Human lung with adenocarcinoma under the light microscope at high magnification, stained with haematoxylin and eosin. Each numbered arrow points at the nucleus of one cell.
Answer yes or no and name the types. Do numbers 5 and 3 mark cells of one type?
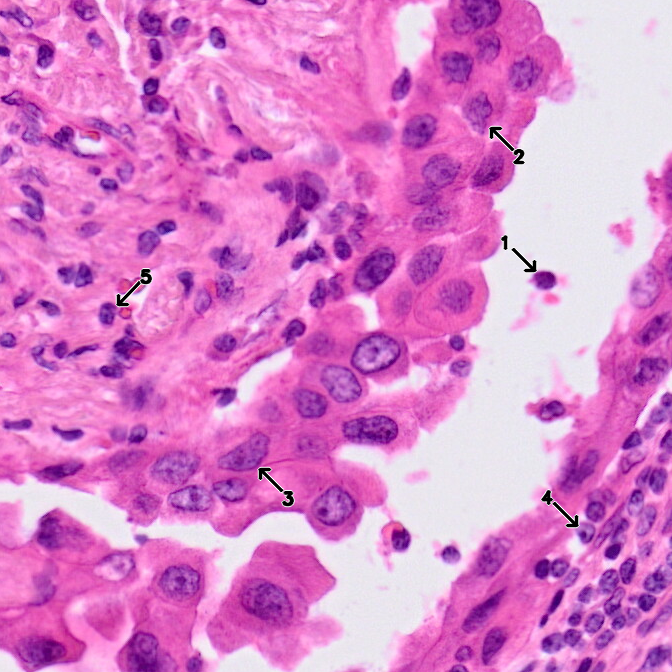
No, cell 5 is a lymphocyte, but cell 3 is a carcinoma cell.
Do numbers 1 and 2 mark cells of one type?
No, cell 1 is a lymphocyte, and cell 2, in contrast, is a carcinoma cell.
